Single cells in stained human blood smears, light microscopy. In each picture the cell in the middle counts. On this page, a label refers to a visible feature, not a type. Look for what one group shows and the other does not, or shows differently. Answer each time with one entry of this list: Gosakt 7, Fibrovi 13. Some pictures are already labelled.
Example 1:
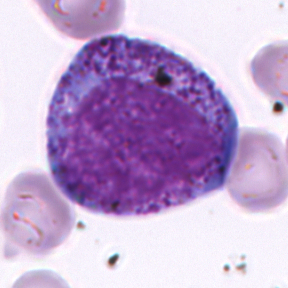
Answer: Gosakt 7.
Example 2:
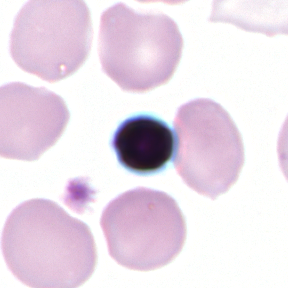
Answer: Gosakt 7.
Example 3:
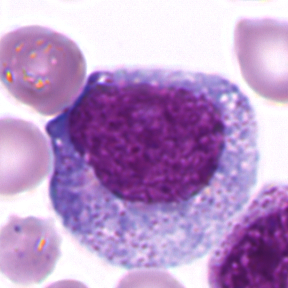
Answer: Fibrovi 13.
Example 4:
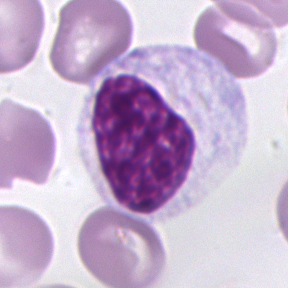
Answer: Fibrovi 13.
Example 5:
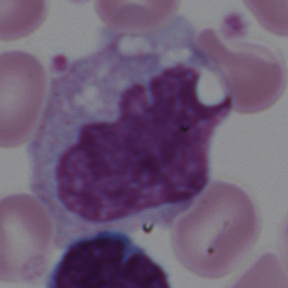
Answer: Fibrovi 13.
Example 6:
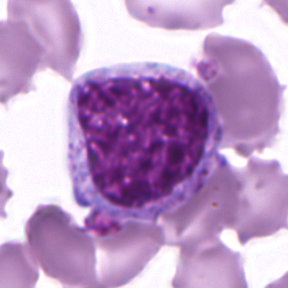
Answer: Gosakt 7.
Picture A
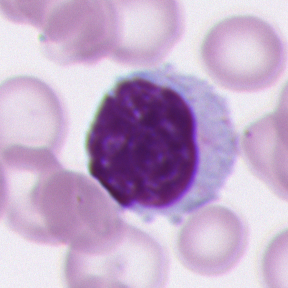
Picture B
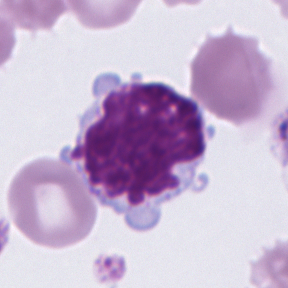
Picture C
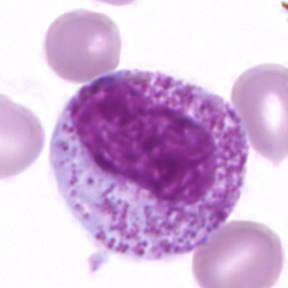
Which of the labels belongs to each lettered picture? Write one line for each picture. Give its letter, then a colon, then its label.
A: Fibrovi 13.
B: Gosakt 7.
C: Fibrovi 13.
